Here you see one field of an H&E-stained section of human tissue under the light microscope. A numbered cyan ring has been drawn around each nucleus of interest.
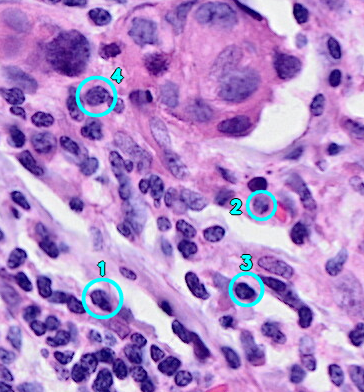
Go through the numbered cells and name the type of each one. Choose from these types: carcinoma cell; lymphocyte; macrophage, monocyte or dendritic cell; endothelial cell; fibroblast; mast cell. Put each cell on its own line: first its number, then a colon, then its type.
1: lymphocyte
2: endothelial cell
3: lymphocyte
4: lymphocyte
